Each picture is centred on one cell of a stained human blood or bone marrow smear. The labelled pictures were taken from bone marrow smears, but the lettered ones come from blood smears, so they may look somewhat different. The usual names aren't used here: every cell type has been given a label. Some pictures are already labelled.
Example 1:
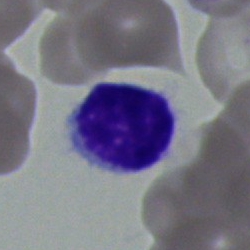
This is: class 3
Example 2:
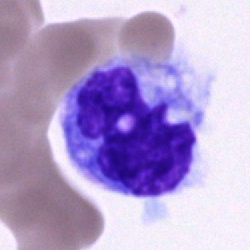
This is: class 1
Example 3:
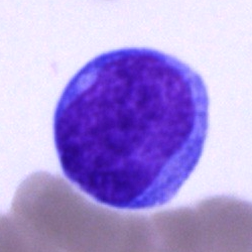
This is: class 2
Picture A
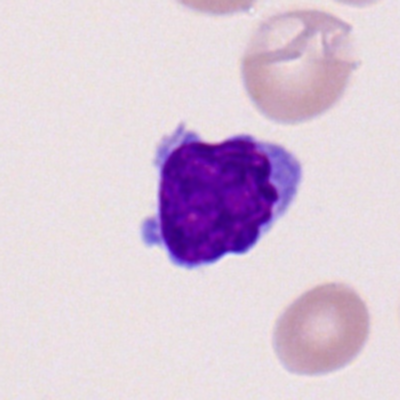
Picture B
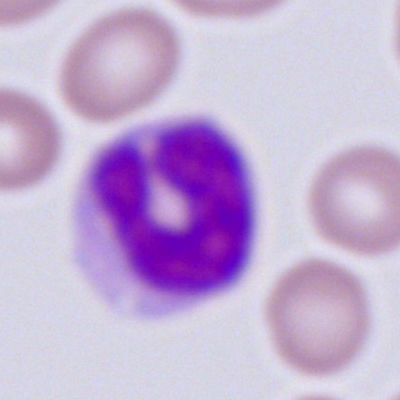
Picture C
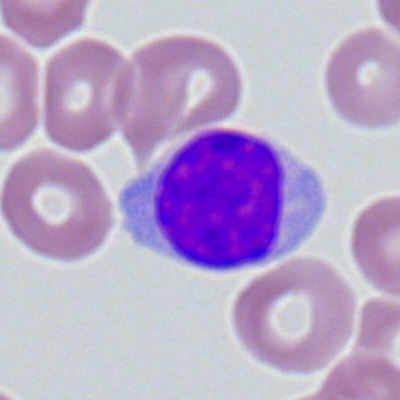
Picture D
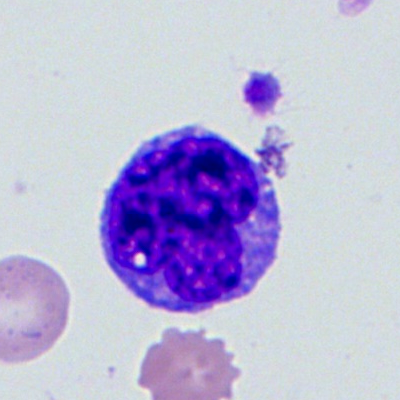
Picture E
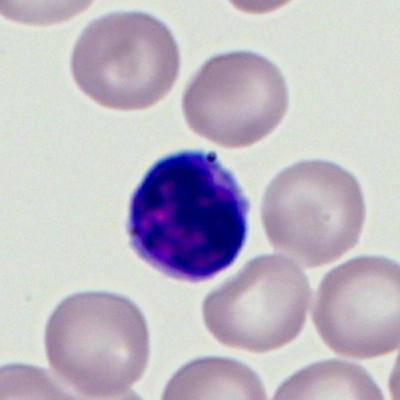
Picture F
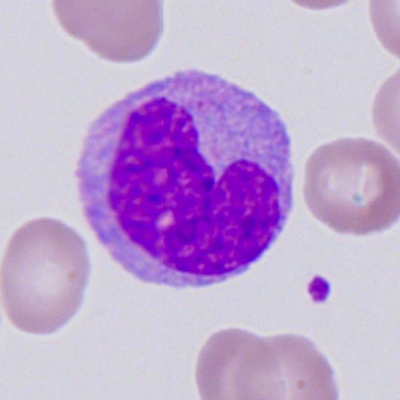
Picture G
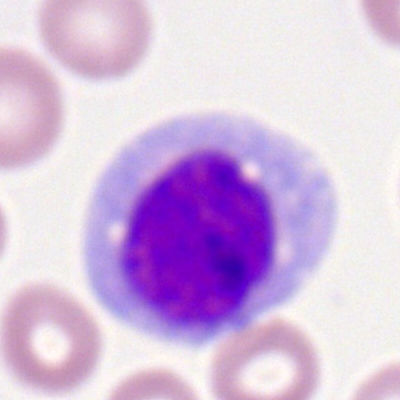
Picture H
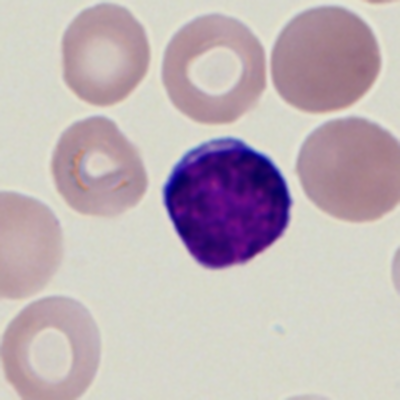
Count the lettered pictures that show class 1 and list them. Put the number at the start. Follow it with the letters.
Count: 4 (B, D, F, G)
